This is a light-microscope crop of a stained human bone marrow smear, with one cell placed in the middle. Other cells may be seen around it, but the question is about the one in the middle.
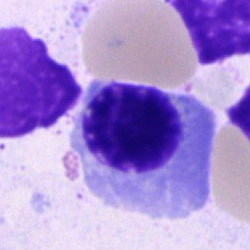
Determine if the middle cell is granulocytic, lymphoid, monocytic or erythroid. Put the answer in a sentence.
The cell occupying the center of the frame is part of the erythroid lineage.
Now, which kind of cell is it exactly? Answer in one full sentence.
The cell shown in the center of this light-microscope crop is an erythroblast.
